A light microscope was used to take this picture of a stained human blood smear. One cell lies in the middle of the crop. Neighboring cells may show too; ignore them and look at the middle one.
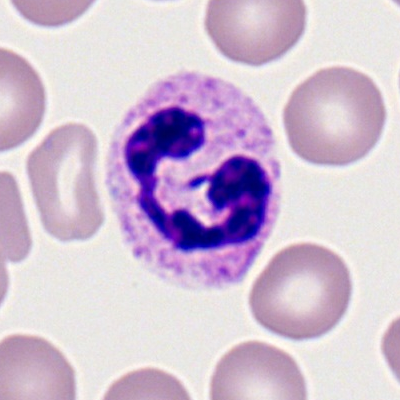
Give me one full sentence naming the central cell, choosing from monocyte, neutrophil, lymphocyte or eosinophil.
Here the centrally located cell is a neutrophil.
